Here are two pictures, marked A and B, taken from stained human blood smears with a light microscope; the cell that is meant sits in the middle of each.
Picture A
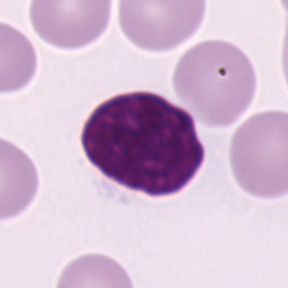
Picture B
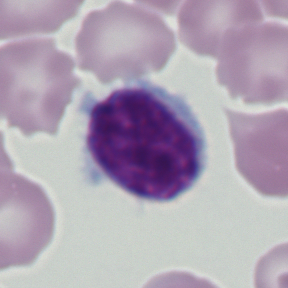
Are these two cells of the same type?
no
